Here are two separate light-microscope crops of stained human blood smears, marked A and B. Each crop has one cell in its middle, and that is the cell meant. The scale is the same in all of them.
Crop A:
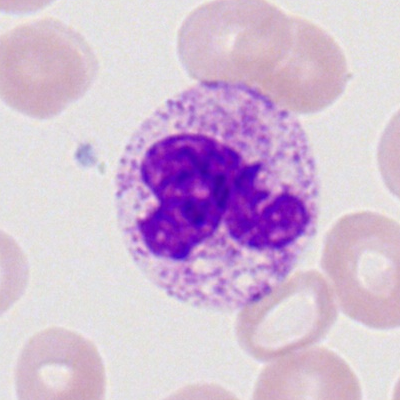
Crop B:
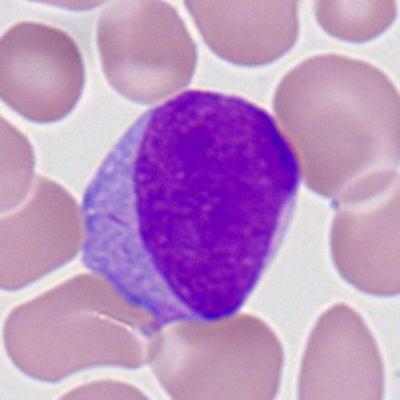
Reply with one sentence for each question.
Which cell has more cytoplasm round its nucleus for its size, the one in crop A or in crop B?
The nucleus fills less of the cell in crop A than in crop B.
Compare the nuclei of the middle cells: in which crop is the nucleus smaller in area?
It is the nucleus in crop A; the one in crop B has about 2.5 times its area.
